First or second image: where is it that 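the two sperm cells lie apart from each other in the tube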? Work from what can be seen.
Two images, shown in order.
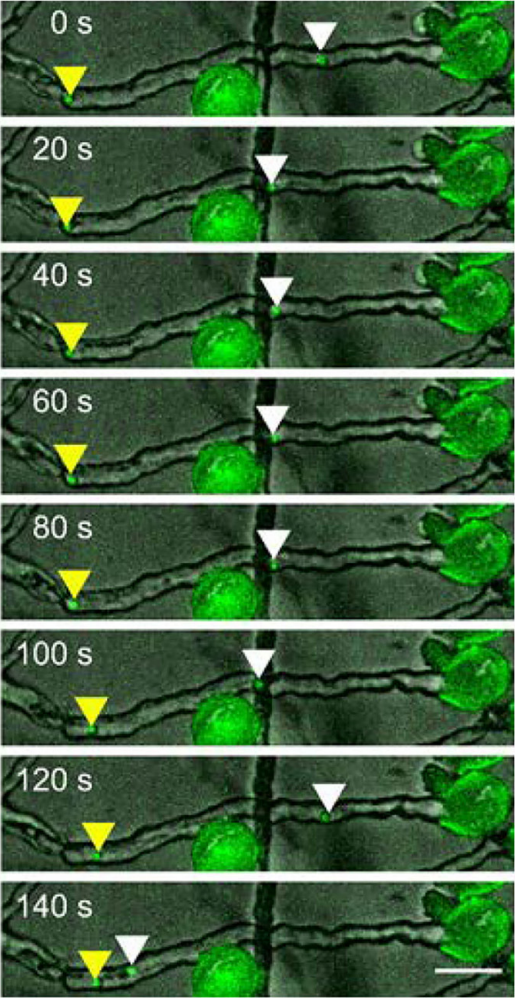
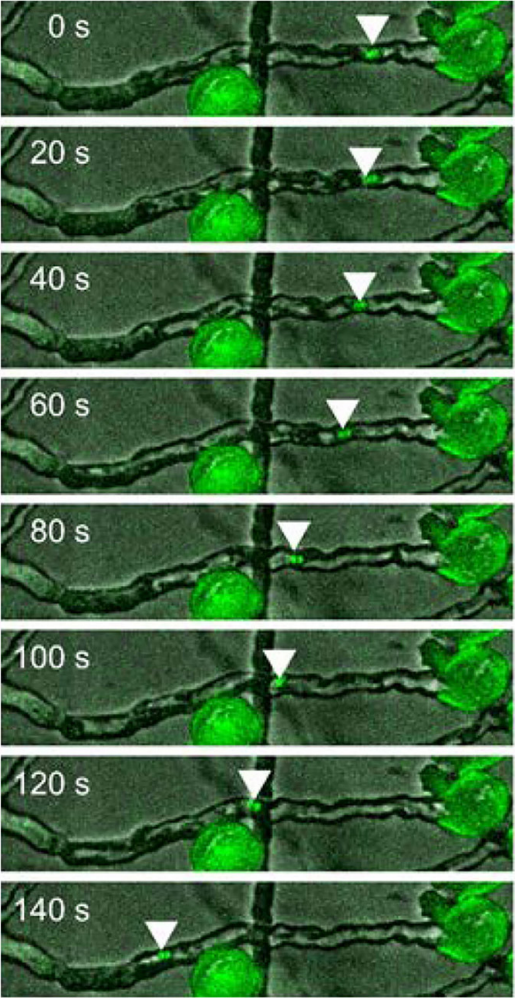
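First image: two arrowheads of different colours mark two separate green dots at different places in the tube. Second image: a single arrowhead marks one paired green body moving as a unit. On this evidence: the first image.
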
